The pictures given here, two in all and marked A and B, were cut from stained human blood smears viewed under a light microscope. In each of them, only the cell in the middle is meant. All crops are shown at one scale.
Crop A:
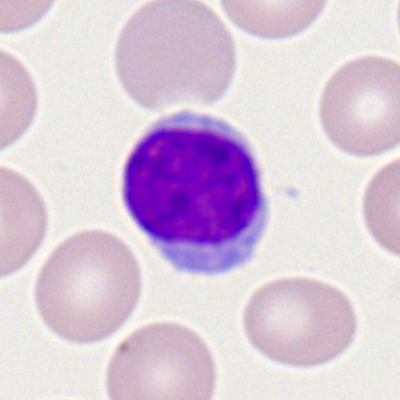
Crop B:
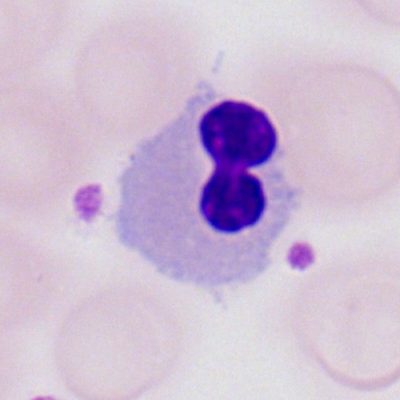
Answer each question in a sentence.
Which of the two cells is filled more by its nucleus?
It is the cell in crop A that is filled more by its nucleus.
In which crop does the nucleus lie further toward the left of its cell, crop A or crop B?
It is the nucleus in crop A that lies further toward the left of its cell.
